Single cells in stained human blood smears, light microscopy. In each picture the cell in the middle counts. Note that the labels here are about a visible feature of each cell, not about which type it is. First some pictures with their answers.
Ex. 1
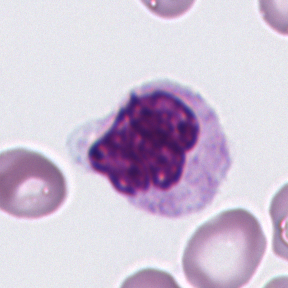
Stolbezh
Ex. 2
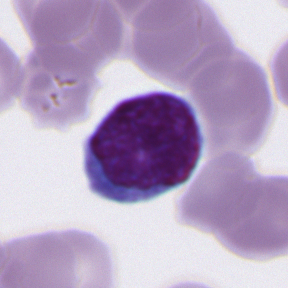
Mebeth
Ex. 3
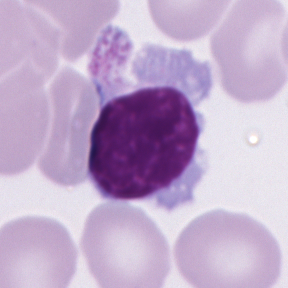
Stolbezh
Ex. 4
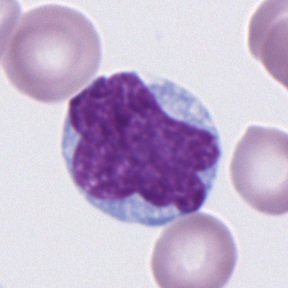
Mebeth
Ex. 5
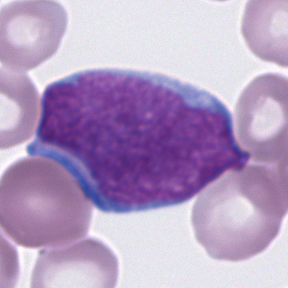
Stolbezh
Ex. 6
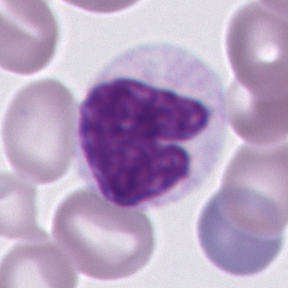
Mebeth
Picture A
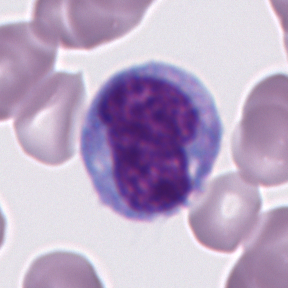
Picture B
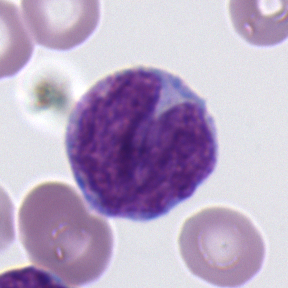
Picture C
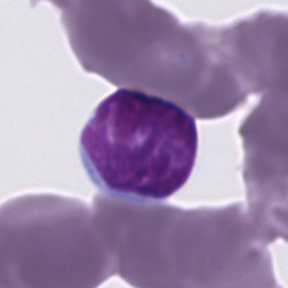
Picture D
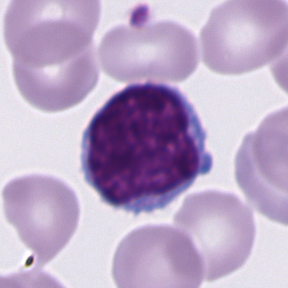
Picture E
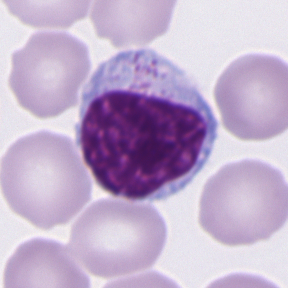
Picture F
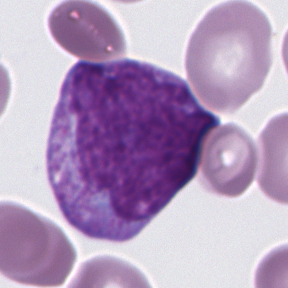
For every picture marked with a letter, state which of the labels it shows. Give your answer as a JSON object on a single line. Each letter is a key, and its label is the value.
{"A": "Mebeth", "B": "Mebeth", "C": "Mebeth", "D": "Stolbezh", "E": "Mebeth", "F": "Mebeth"}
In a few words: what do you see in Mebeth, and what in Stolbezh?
Mebeth, smooth outline; Stolbezh, ragged outline or projections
